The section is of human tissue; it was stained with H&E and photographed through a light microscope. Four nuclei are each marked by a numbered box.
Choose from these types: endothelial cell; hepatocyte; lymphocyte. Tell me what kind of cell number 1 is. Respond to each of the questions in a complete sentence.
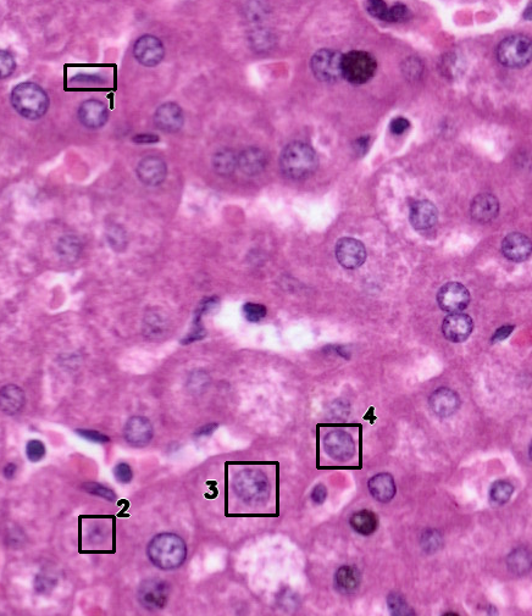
The mark numbered 1 indicates the nucleus of an endothelial cell.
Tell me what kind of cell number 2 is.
The numbered cell 2 in this field is a hepatocyte.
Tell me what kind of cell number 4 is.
Corresponding to a hepatocyte is the cell labelled 4.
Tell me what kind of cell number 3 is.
The marked cell with the number 3 is recognised as a hepatocyte.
